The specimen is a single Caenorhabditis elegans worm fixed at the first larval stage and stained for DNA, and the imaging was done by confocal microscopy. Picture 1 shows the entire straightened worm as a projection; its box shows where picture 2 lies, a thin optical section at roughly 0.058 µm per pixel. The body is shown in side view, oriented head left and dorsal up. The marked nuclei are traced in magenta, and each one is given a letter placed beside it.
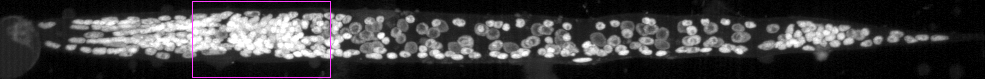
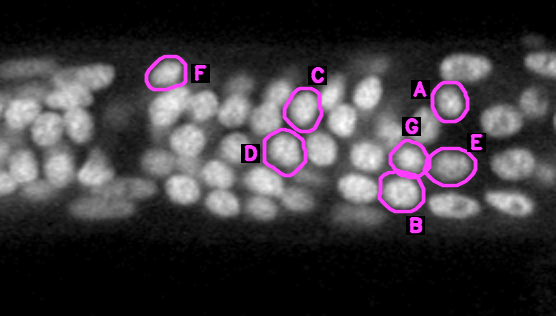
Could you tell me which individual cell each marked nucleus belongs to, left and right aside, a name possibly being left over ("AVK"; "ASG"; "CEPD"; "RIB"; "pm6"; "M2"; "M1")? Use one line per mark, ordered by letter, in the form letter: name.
A: M1
B: AVK
C: ASG
D: RIB
E: pm6
F: CEPD
G: M2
